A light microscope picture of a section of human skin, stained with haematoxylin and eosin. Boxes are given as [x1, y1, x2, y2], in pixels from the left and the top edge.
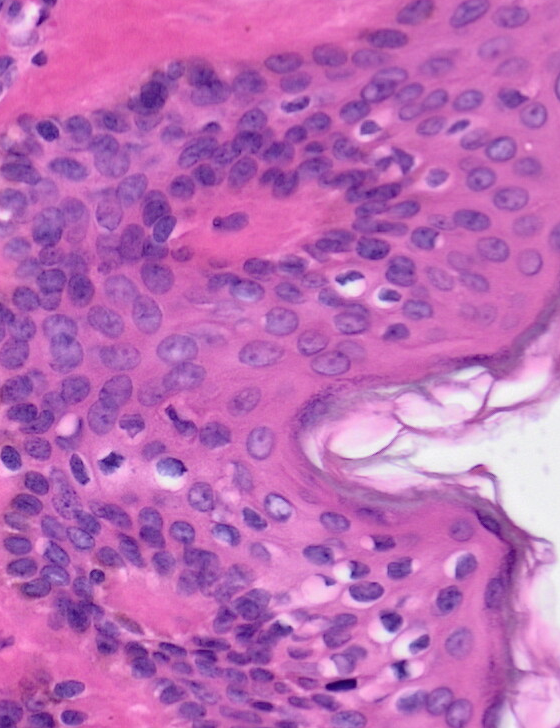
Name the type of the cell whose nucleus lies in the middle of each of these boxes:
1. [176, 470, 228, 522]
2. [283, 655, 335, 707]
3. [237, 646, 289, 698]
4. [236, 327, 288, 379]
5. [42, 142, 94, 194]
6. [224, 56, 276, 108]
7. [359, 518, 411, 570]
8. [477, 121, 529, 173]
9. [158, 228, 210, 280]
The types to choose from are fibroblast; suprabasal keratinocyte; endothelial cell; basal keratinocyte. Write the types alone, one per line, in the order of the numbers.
suprabasal keratinocyte
basal keratinocyte
basal keratinocyte
suprabasal keratinocyte
basal keratinocyte
basal keratinocyte
suprabasal keratinocyte
suprabasal keratinocyte
basal keratinocyte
